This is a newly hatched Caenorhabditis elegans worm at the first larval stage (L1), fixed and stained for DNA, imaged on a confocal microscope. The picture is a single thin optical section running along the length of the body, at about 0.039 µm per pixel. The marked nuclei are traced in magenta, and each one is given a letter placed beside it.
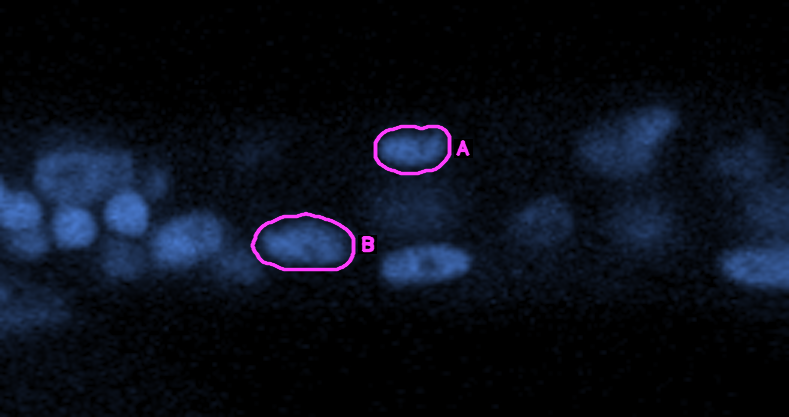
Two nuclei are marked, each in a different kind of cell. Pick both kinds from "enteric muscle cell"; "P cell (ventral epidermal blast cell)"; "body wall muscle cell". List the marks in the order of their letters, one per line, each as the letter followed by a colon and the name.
A: body wall muscle cell
B: enteric muscle cell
